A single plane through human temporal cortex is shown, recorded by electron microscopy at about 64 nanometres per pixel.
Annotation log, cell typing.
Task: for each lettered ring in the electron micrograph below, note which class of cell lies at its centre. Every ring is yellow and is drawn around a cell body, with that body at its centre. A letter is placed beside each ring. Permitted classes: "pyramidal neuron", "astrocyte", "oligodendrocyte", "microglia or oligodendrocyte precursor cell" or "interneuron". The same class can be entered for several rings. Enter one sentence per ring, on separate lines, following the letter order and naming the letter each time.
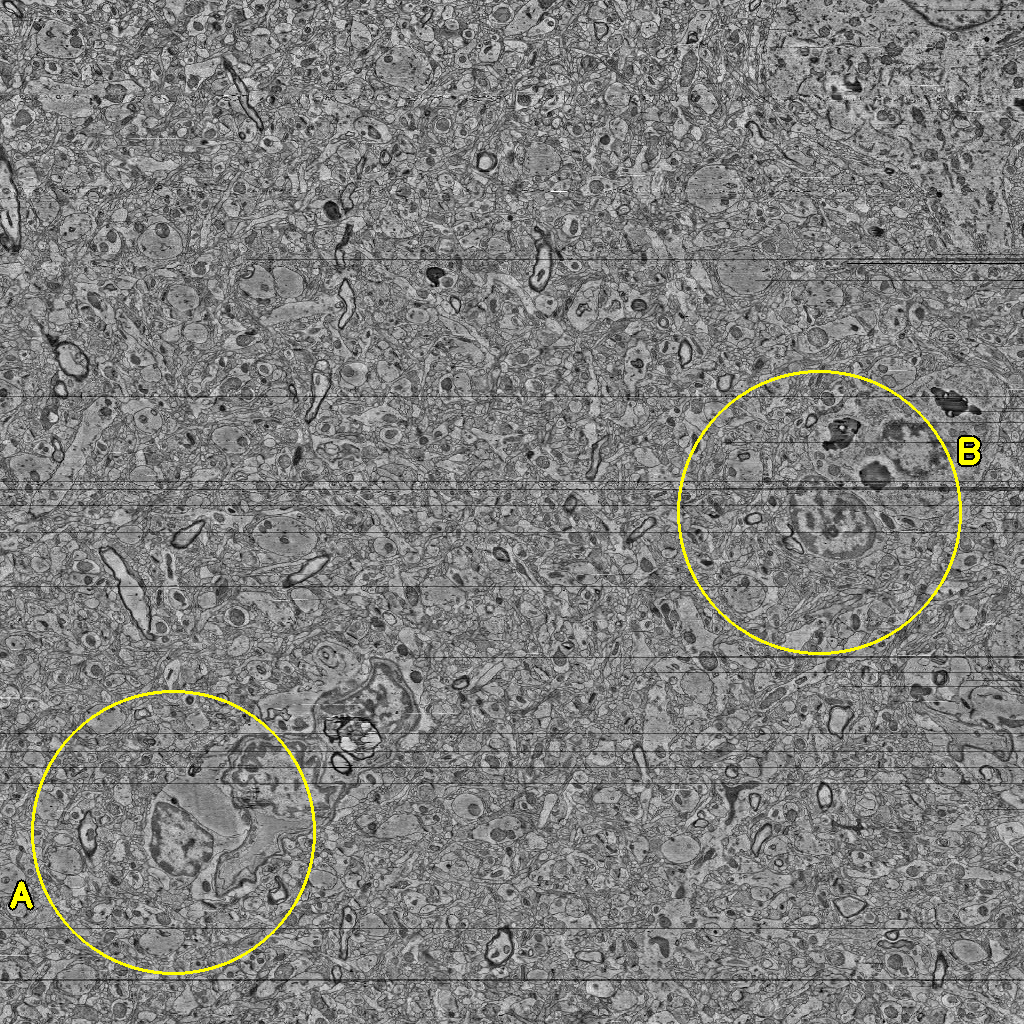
The cell at the centre of ring A is a microglial cell or oligodendrocyte precursor cell.
The cell at the centre of ring B is an oligodendrocyte.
